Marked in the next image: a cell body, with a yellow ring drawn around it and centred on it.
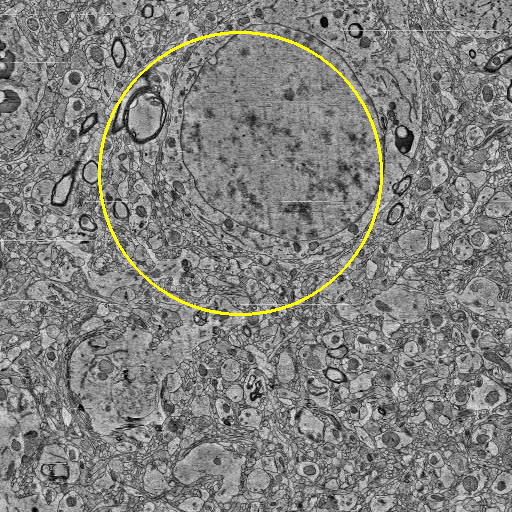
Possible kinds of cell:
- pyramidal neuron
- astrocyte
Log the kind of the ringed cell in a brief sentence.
The ringed cell body is that of a pyramidal neuron.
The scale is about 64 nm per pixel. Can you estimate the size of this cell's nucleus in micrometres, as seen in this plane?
Roughly 14 micrometers across, in this plane.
